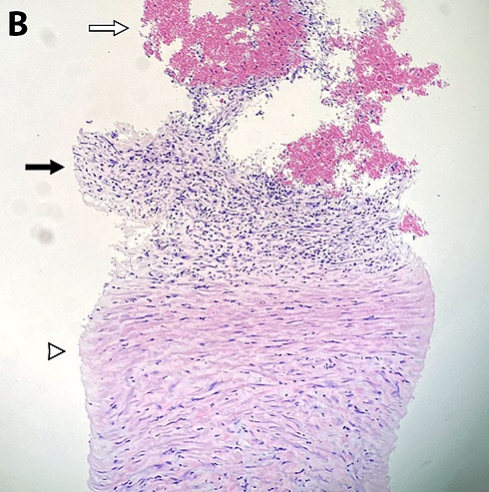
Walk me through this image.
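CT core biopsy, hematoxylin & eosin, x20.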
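Below lies a dense pink band of wavy collagen with thin, elongated spindle-shaped nuclei running in parallel, while above it a looser, more cellular zone holds plump fibroblasts and small round dark nuclei of lymphocytes. At the top, loose clumps of bright pink red blood cells without nuclei lie beside the tissue.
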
